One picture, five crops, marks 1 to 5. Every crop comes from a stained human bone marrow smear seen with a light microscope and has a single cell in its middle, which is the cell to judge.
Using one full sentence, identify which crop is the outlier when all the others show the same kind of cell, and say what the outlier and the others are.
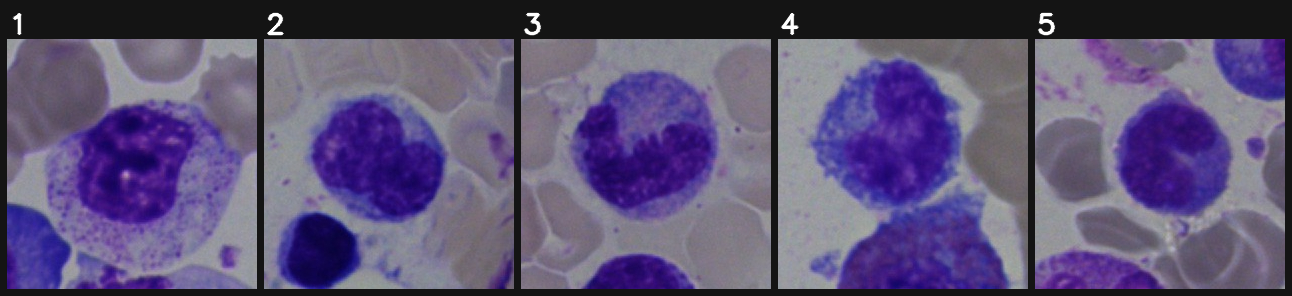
Crop 1 is a myelocyte, and the other crops all show monocytes.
